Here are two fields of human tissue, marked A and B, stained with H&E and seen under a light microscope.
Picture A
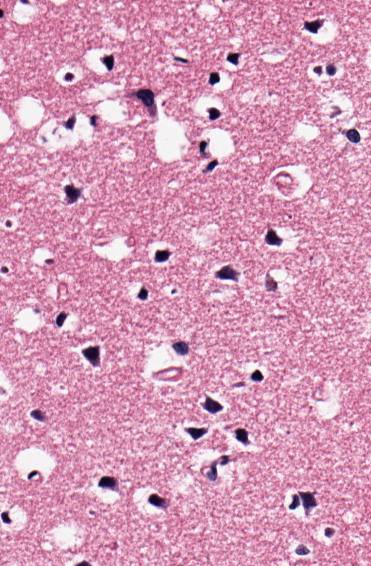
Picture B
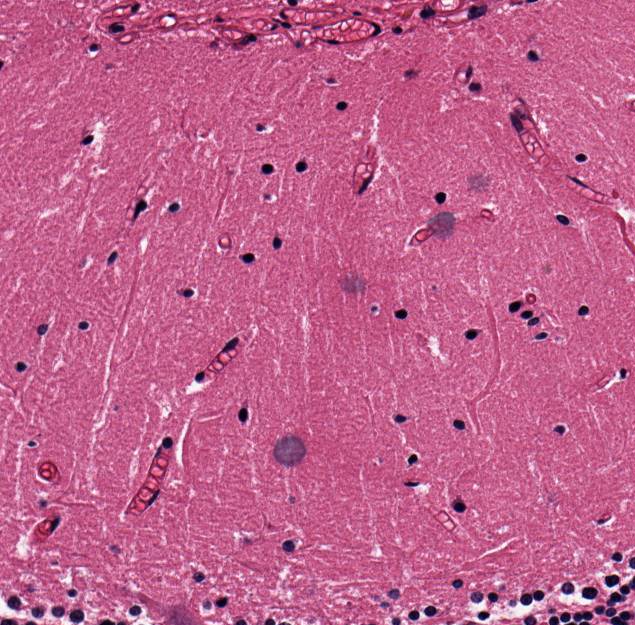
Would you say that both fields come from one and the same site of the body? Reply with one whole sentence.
No: picture A comes from the cerebral cortex, but picture B comes from the cerebellum.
